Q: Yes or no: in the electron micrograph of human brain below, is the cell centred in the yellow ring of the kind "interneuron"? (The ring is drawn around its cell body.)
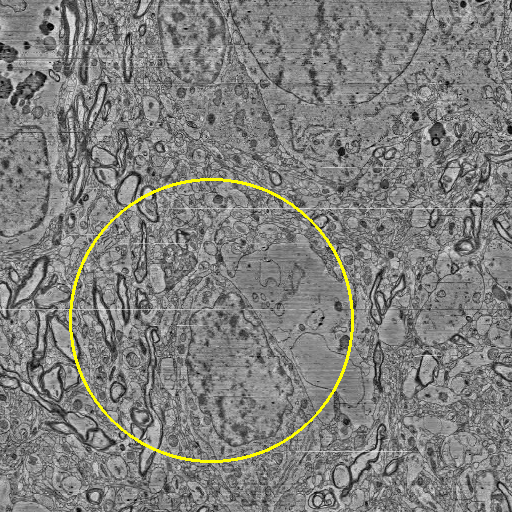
yes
